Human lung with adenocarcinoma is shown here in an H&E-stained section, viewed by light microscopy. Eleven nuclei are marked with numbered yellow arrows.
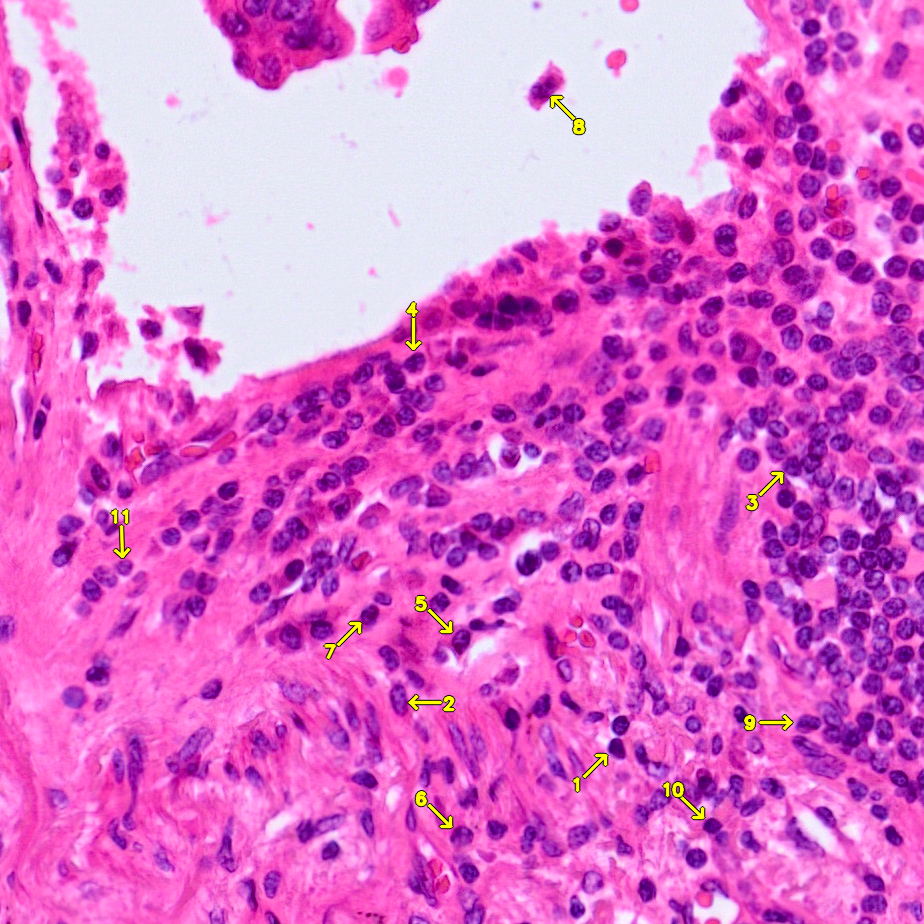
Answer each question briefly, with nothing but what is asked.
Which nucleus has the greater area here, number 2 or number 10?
2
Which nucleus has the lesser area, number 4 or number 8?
4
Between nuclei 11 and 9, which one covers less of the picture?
11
